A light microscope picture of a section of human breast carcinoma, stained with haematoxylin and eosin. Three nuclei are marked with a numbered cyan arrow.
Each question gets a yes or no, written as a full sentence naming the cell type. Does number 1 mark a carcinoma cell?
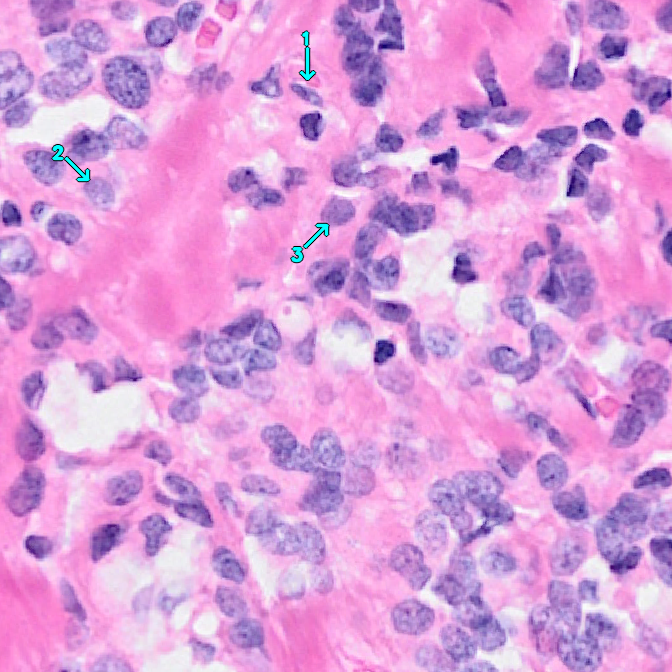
No, cell number 1 is an endothelial cell; it is not a carcinoma cell.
